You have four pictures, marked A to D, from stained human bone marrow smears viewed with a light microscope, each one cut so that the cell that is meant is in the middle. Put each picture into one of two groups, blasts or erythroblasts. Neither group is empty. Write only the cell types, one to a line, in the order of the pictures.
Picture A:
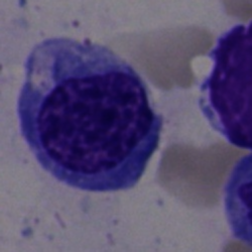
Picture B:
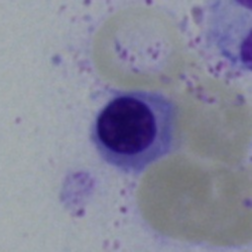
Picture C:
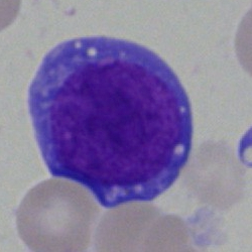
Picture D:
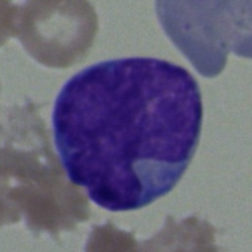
erythroblast
erythroblast
blast
blast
